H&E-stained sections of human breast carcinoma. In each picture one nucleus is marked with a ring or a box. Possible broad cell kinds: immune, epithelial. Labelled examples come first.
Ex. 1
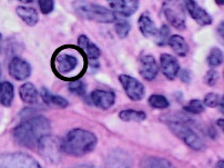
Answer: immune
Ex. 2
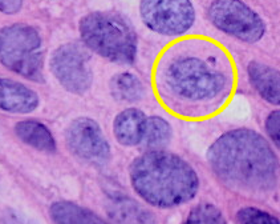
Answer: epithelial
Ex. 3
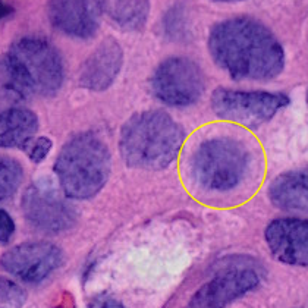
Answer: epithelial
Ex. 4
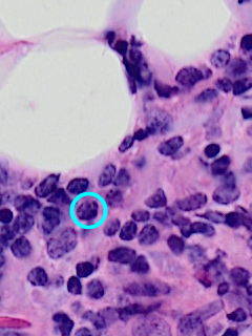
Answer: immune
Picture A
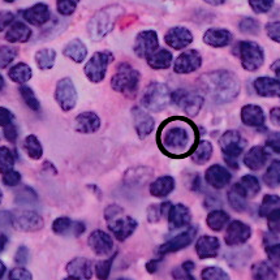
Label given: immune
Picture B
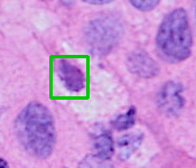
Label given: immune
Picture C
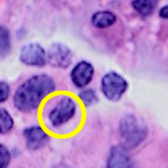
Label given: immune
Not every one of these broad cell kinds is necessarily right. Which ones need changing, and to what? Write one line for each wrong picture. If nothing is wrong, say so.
B: change immune to epithelial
